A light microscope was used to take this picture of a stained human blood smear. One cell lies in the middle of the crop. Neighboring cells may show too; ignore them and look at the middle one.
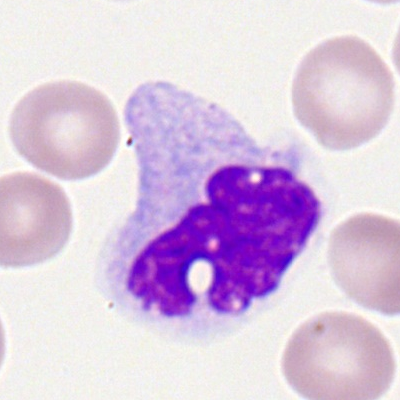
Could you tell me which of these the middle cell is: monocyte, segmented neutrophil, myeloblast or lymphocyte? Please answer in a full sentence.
The middle cell in this particular crop is a monocyte.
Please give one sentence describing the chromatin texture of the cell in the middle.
The chromatin remains finely textured, with no coarse clumps to speak of.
